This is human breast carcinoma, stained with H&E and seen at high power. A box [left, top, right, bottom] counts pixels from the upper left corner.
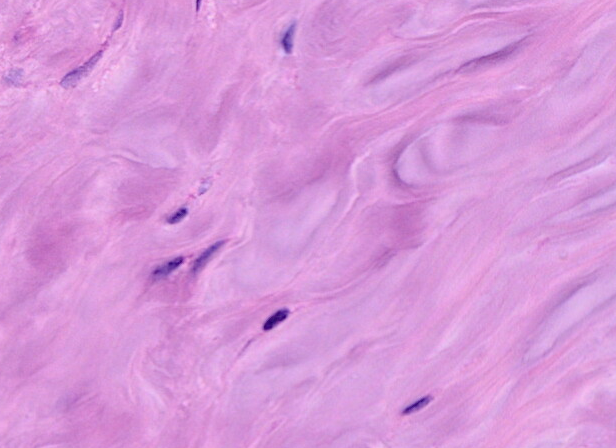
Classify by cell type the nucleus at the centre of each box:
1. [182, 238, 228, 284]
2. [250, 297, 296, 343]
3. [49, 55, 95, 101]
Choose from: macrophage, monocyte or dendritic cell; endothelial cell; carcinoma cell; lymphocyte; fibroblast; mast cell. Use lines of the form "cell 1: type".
cell 1: fibroblast
cell 2: lymphocyte
cell 3: fibroblast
